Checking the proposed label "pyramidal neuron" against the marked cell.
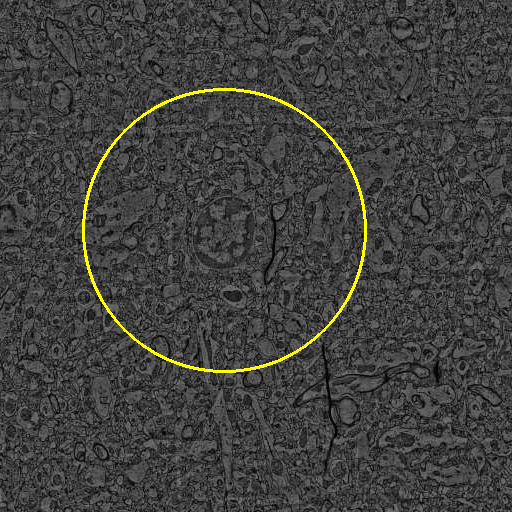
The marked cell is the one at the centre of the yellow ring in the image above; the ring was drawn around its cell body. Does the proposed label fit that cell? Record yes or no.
no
